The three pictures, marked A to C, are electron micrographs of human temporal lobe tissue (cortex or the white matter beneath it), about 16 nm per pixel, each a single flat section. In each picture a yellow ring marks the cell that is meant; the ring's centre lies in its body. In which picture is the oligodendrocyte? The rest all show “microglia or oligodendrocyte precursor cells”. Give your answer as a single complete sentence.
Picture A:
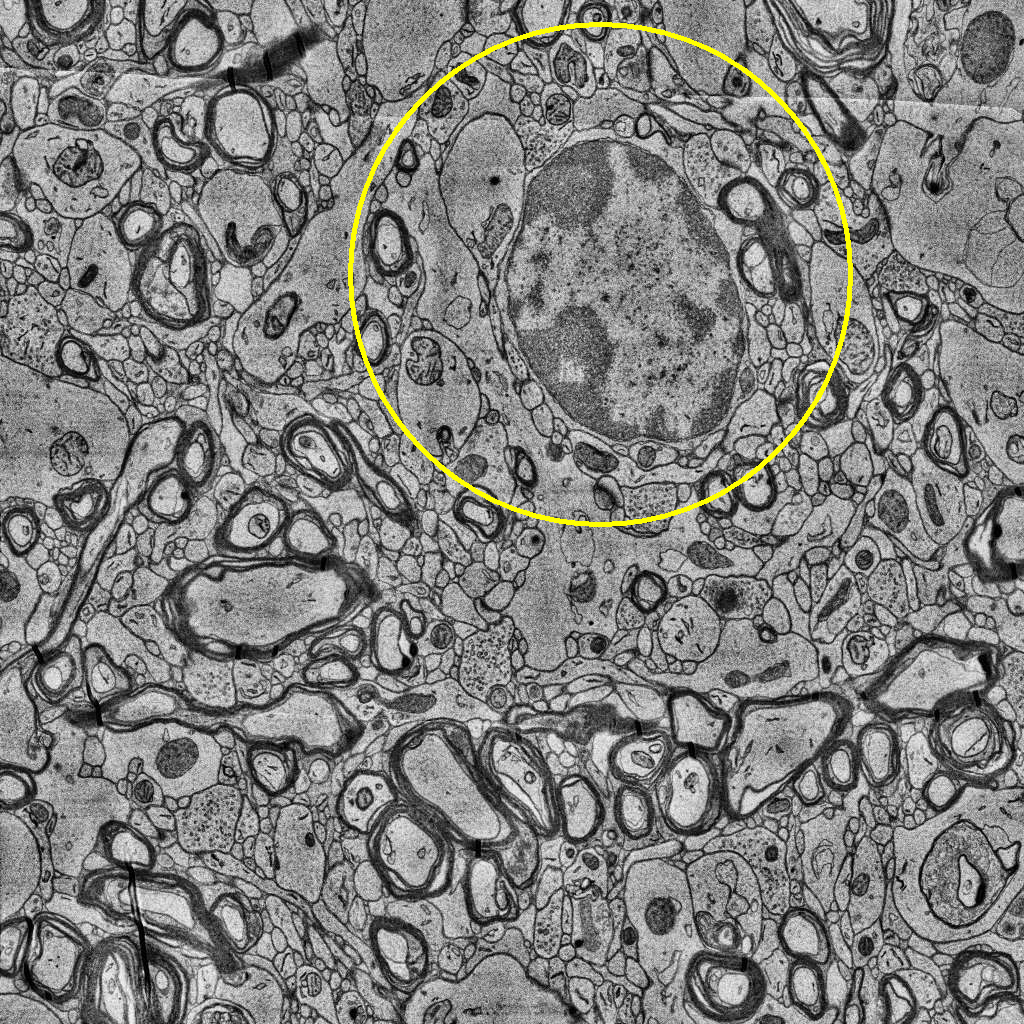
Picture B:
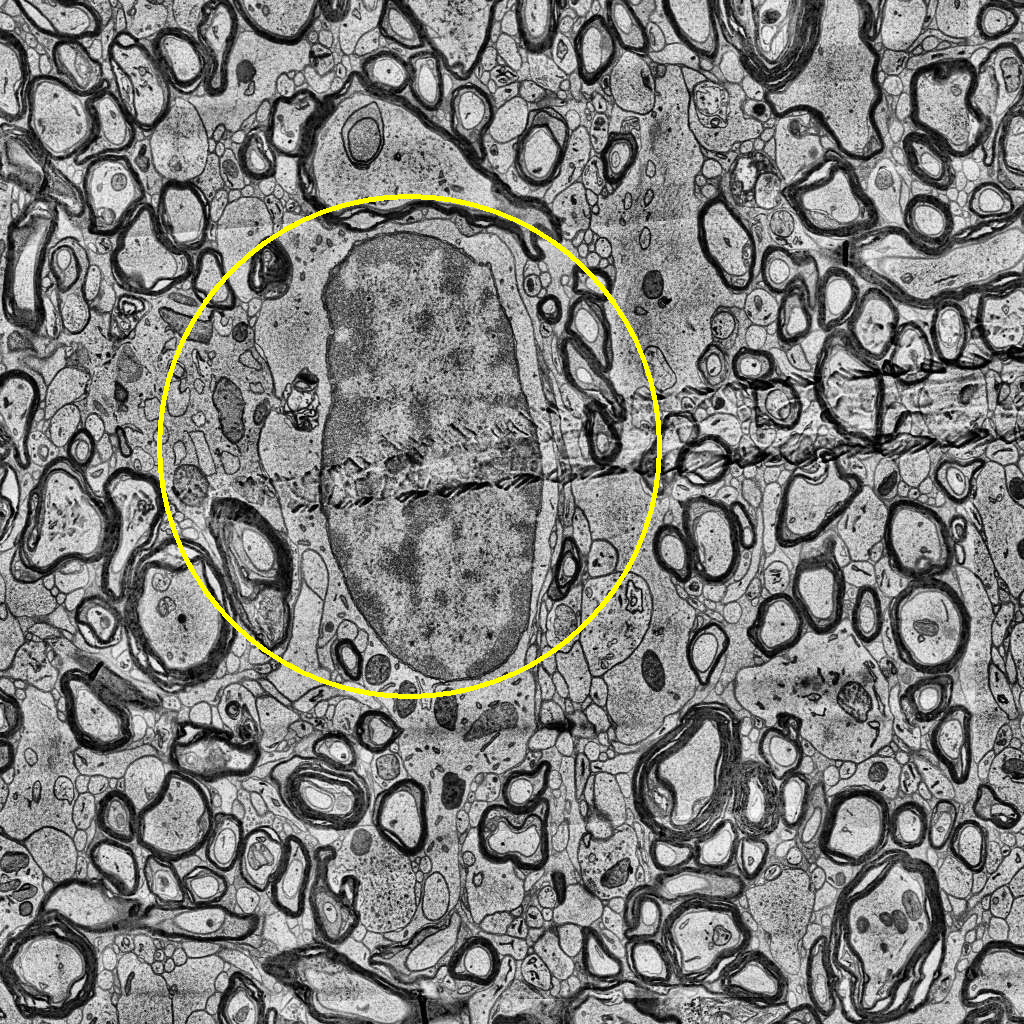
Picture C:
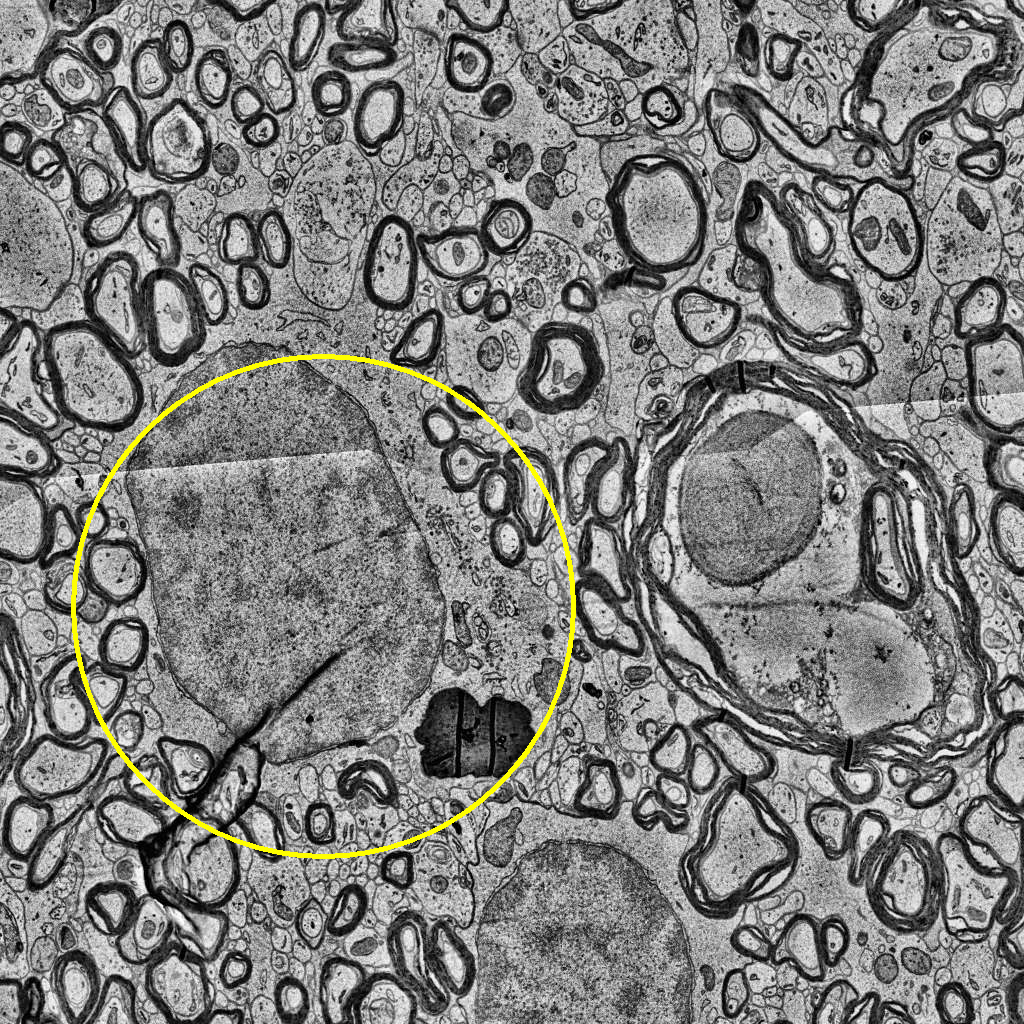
It is picture C that shows the oligodendrocyte.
